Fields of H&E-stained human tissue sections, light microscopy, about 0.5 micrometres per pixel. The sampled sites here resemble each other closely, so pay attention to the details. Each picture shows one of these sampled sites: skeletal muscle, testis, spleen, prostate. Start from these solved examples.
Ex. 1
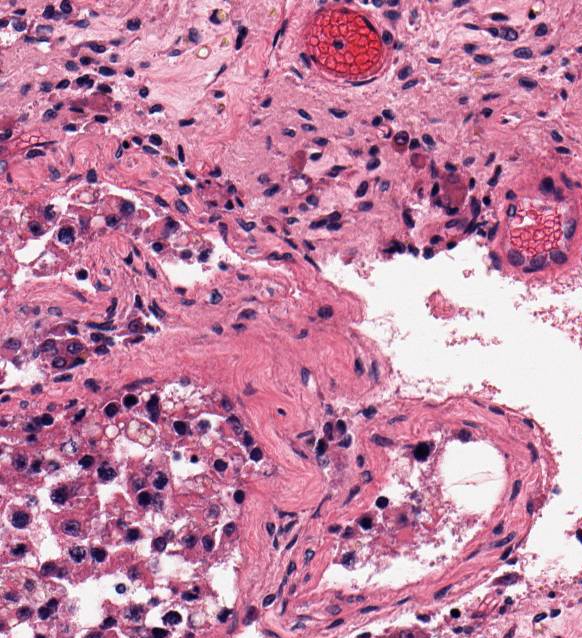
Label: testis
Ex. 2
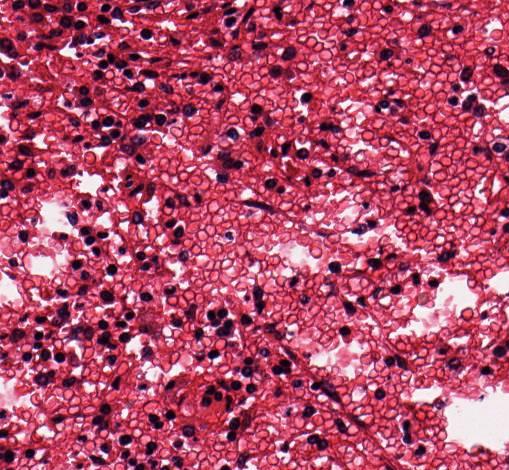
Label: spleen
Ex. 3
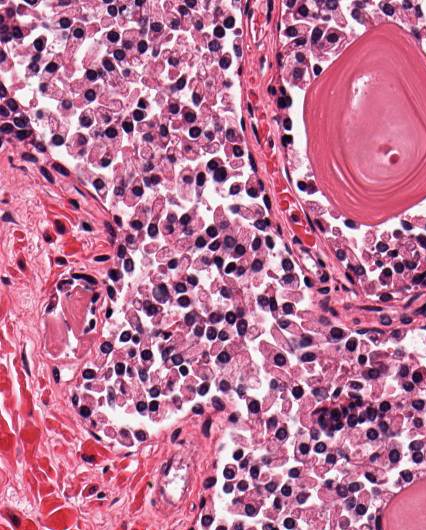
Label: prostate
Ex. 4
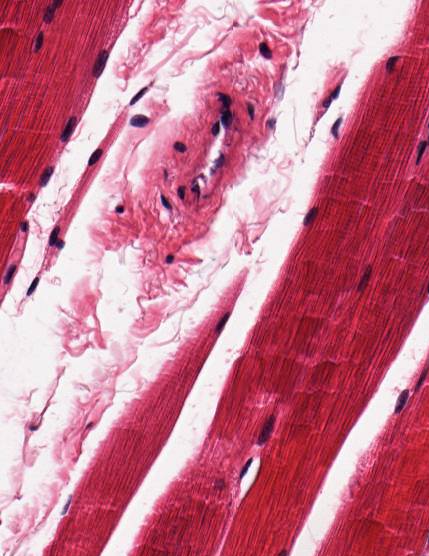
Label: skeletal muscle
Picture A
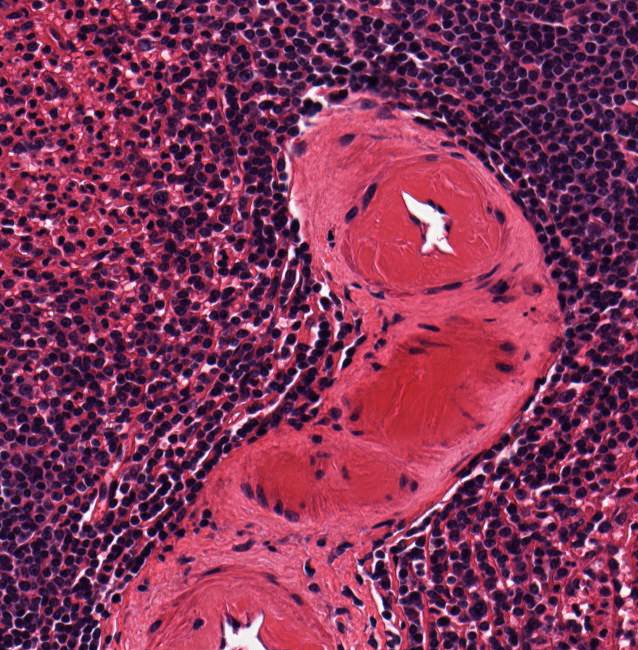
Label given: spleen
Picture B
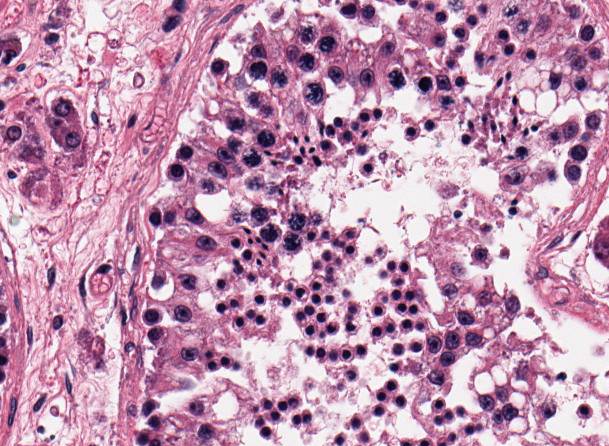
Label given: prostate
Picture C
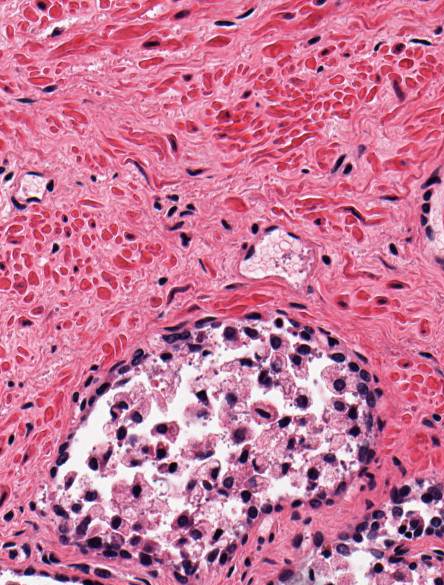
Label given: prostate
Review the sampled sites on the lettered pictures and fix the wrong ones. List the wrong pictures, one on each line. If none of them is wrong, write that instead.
B is labelled prostate; correct label: testis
